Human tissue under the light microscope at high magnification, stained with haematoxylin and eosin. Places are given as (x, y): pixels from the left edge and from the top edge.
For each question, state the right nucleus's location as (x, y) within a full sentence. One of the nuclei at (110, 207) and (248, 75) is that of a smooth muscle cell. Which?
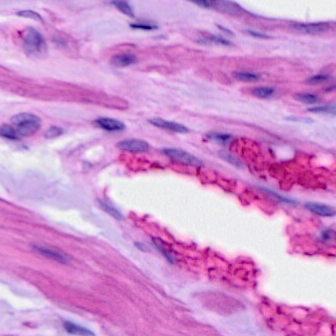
The nucleus at (248, 75) is identified as belonging to a smooth muscle cell.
